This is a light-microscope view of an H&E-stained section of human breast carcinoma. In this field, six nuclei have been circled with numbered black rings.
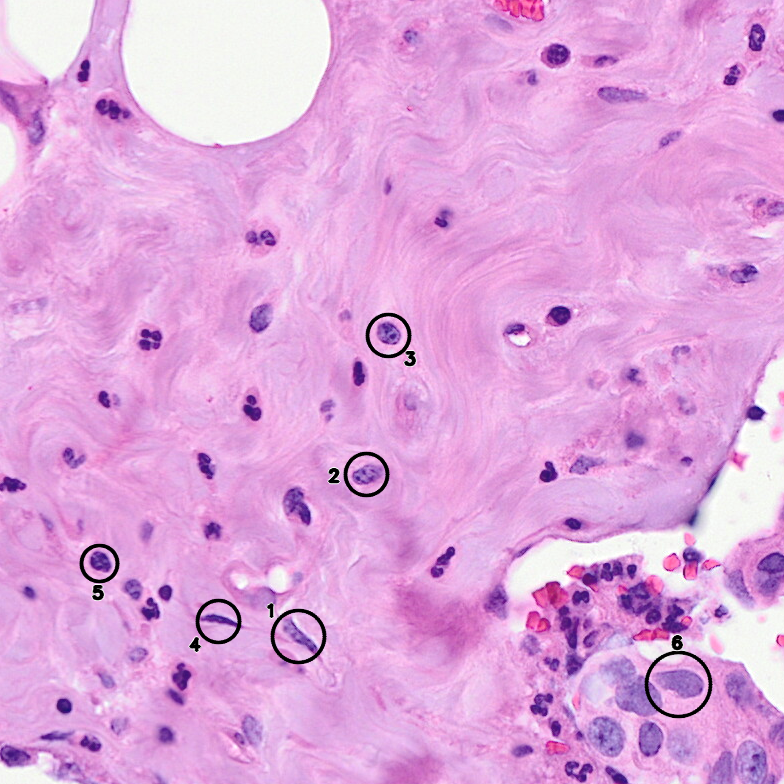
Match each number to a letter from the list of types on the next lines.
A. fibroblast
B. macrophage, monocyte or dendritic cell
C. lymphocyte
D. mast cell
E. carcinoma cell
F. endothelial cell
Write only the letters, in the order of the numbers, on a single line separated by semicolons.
A; D; D; A; C; E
